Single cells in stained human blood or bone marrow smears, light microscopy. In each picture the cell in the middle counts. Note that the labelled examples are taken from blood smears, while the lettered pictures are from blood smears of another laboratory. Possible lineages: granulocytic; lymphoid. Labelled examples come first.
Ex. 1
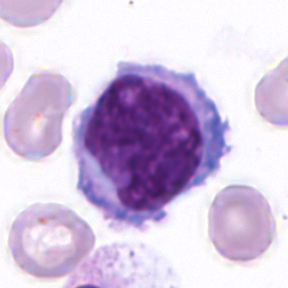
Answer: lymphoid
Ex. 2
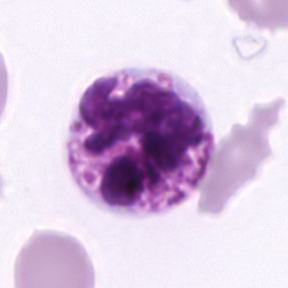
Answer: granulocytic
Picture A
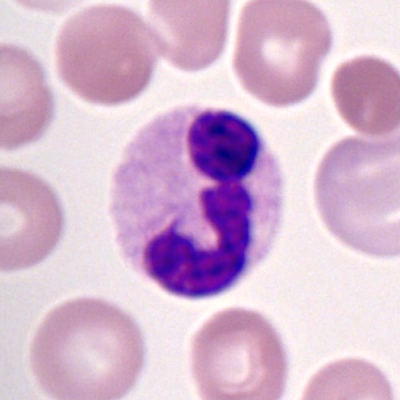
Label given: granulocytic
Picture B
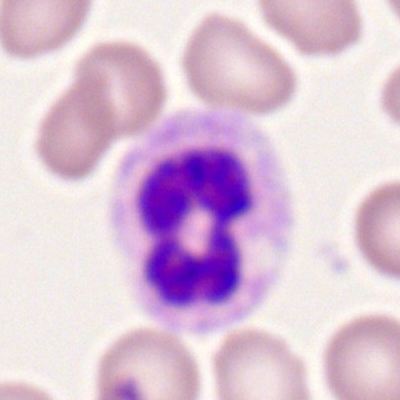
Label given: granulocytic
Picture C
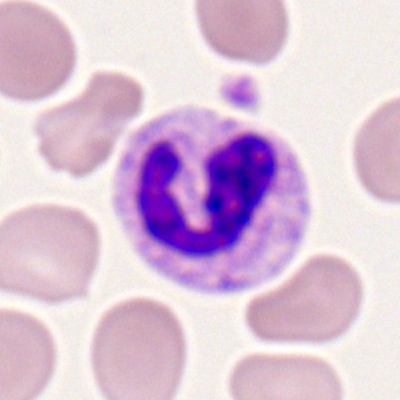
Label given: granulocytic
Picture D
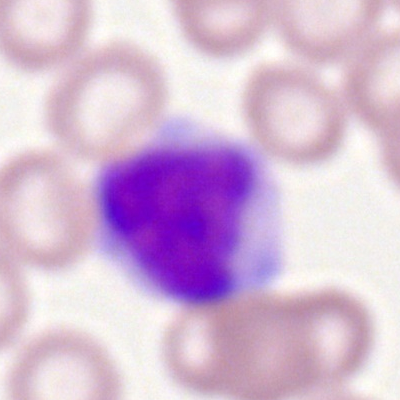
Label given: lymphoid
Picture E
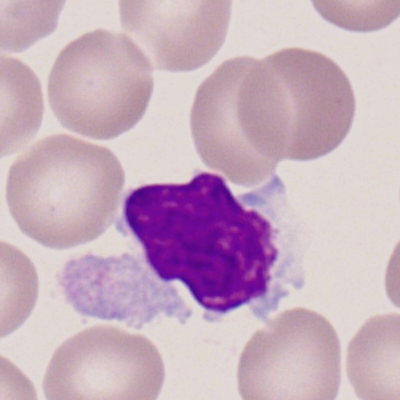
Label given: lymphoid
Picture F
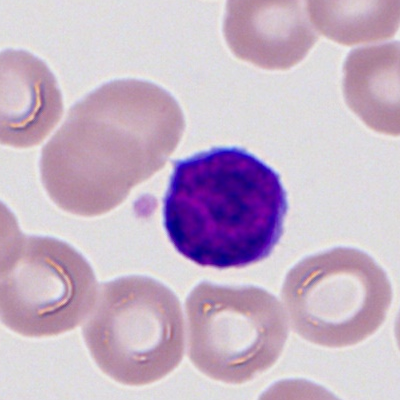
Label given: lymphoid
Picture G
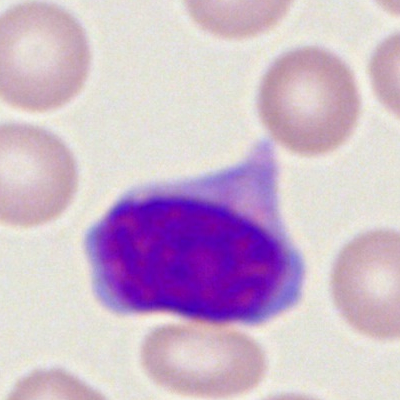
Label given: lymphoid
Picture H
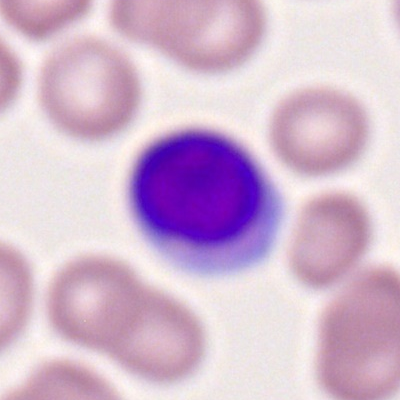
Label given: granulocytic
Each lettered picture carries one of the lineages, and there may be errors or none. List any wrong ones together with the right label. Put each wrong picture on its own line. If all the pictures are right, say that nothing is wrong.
Wrong: H (granulocytic); correct: lymphoid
